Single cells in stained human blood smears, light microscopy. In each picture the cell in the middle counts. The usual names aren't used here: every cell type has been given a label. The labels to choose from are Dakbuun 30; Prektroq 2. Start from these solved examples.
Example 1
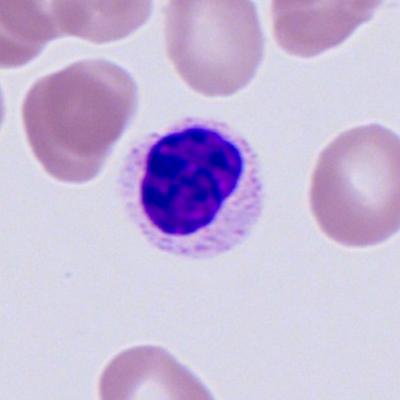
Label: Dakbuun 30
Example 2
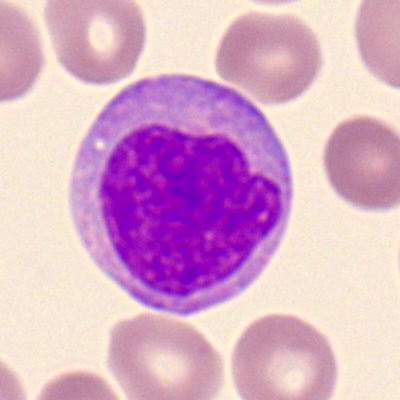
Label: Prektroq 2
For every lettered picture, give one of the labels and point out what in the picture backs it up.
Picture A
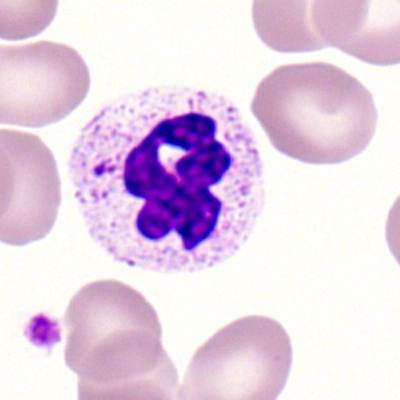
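Label: Dakbuun 30. The nucleus is divided into several lobes joined together.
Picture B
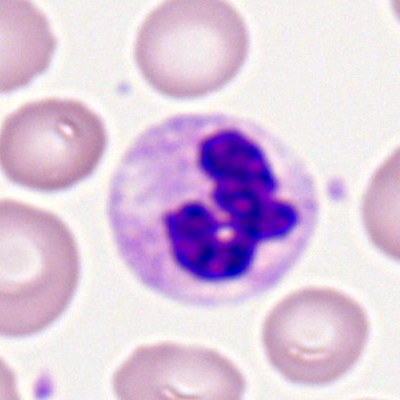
Label: Dakbuun 30. The cytoplasm is plentiful and pale lilac-pink.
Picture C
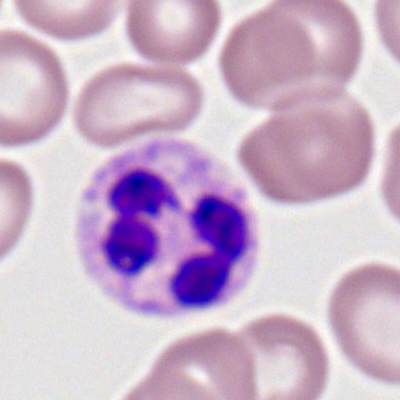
Label: Dakbuun 30. The nucleus is divided into four separate lobes.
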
